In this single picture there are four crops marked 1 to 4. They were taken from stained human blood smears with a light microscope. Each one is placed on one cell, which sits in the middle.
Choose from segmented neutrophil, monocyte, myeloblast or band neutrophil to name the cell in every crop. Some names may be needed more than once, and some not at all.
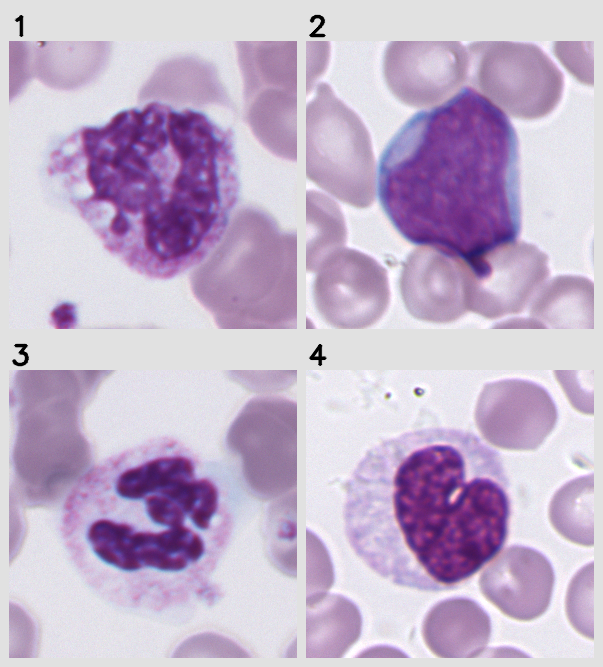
1: segmented neutrophil
2: myeloblast
3: segmented neutrophil
4: band neutrophil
